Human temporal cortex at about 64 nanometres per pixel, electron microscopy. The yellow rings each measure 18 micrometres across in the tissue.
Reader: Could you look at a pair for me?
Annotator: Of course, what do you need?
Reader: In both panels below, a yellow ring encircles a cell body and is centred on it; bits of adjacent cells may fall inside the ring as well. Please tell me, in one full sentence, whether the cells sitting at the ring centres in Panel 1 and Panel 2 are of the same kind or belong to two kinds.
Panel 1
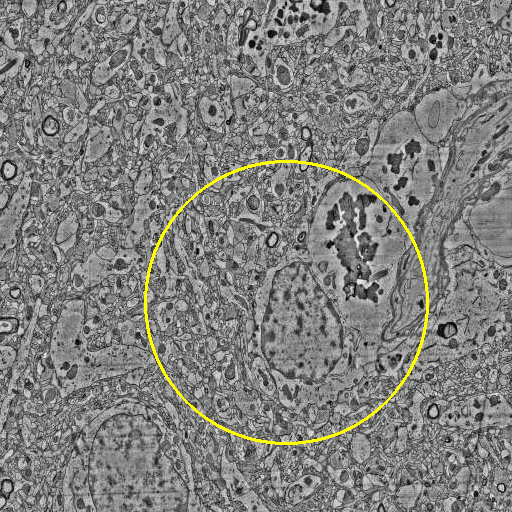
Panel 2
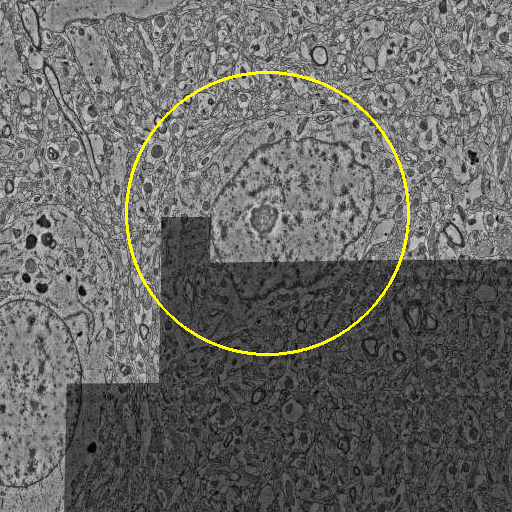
The cell at the ring's centre in Panel 1 and the one in Panel 2 belong to two kinds.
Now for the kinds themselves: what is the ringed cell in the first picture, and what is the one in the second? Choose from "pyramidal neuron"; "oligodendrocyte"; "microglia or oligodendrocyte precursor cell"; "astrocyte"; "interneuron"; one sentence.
Here the first cell is a microglial cell or oligodendrocyte precursor cell and the second cell is an interneuron.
